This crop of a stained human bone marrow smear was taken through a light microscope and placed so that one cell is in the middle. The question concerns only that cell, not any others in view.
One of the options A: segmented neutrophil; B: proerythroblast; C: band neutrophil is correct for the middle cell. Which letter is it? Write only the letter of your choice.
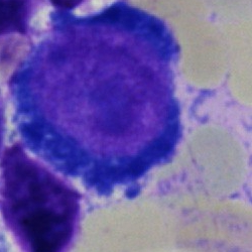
B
